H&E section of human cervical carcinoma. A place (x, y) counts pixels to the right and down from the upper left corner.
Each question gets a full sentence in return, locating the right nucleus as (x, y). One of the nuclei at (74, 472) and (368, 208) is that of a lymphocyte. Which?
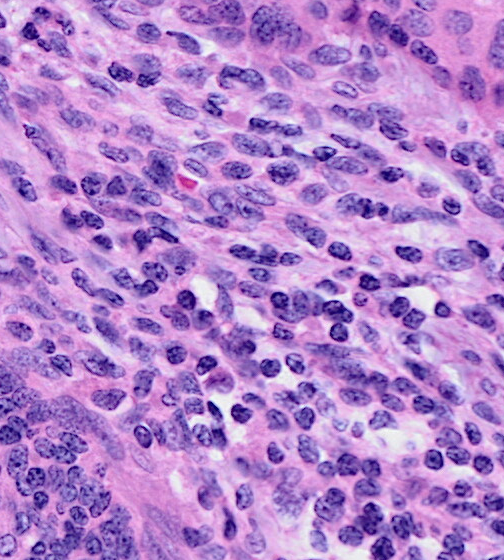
Answering which nucleus it is: the one at (368, 208), belonging to a lymphocyte.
